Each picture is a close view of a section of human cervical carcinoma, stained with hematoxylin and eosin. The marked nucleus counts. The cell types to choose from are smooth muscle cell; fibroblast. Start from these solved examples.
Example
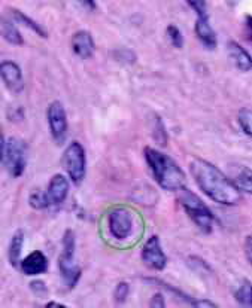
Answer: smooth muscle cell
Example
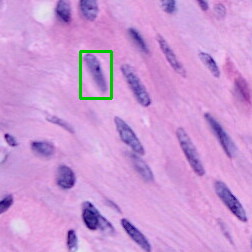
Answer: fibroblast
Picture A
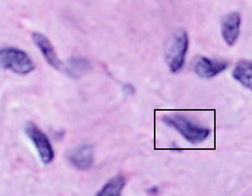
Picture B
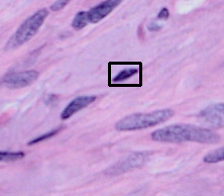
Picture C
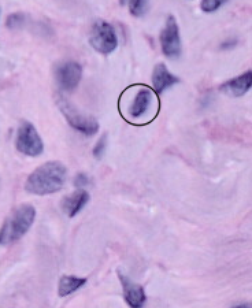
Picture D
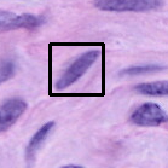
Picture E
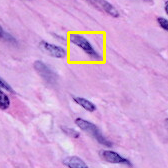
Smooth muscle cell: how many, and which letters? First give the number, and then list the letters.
0, none of them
